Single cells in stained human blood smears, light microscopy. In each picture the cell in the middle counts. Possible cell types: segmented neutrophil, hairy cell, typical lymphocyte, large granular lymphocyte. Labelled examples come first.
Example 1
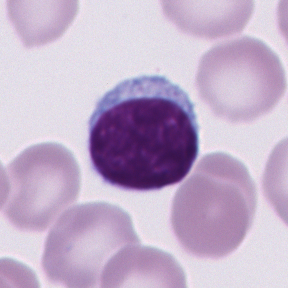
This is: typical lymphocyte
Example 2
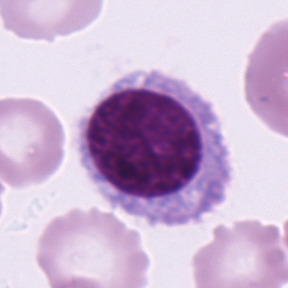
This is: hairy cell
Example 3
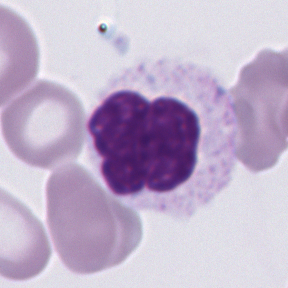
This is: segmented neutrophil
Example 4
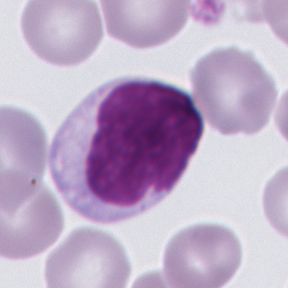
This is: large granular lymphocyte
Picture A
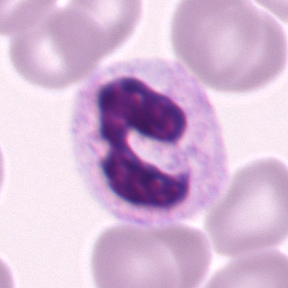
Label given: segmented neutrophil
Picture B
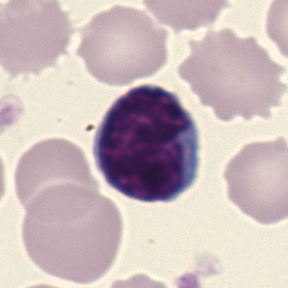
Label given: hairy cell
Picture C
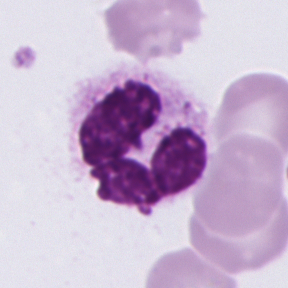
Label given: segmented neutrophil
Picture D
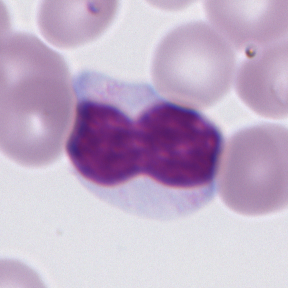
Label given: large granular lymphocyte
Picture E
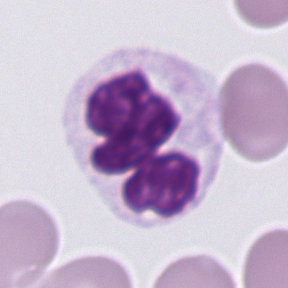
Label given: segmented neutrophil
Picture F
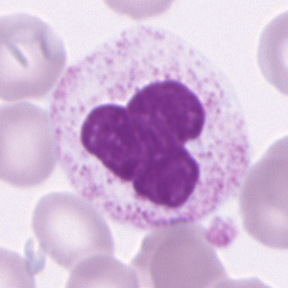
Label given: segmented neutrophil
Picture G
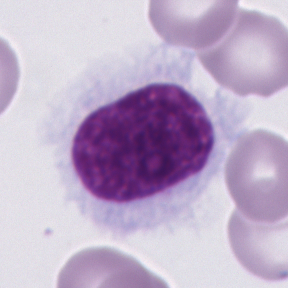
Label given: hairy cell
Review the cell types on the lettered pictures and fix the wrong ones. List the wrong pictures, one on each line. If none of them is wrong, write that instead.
B should be typical lymphocyte, not hairy cell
